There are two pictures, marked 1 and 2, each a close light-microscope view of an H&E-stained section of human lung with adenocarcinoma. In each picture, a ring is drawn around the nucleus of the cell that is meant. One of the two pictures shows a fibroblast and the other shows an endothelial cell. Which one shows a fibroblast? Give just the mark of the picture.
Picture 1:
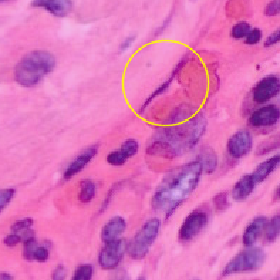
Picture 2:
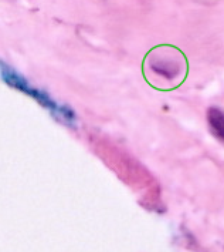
2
